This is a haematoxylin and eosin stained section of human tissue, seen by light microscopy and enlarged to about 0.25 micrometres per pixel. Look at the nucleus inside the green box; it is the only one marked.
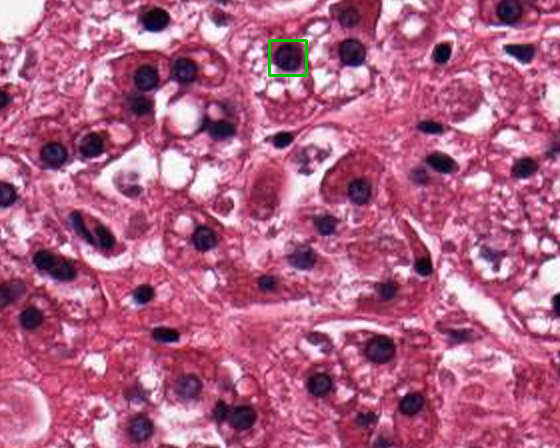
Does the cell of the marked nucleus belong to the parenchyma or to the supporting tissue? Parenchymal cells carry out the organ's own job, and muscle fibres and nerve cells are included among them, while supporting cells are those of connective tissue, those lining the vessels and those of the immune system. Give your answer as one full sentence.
The marked nucleus is held by a parenchymal cell, namely an adrenal cortical cell.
